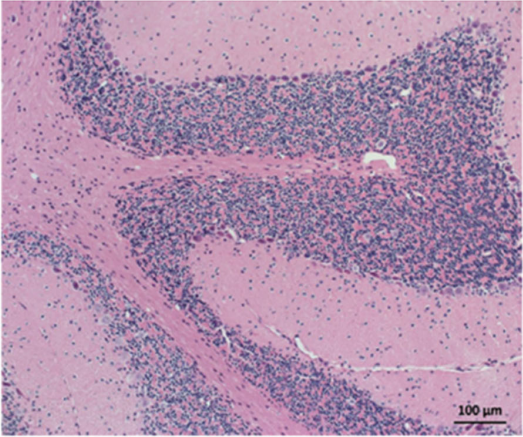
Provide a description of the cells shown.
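This is a section of cerebellar cortex, folded into folia, with its layers in H&E. The outer molecular layer is pale pink and holds sparse small nuclei. Beneath it lies a thick band of densely packed, small, round, dark purple granule cell nuclei. A narrow pink core of white matter runs through the middle of the folia, and a small vessel sits within it. The border between the molecular and granular layers is even and continuous, with no clear holes.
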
